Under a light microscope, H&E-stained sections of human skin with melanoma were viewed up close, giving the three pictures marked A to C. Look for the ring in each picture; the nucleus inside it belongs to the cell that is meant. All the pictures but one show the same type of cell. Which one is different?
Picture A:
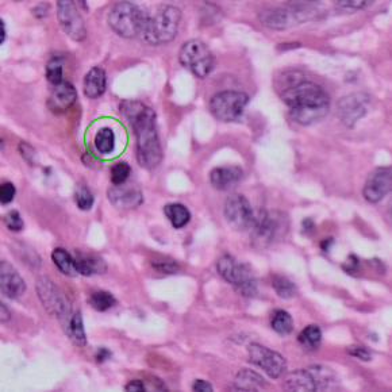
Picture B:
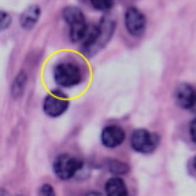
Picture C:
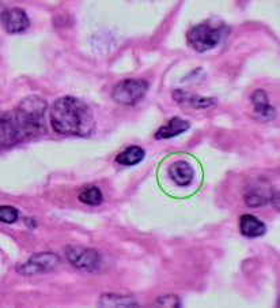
B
